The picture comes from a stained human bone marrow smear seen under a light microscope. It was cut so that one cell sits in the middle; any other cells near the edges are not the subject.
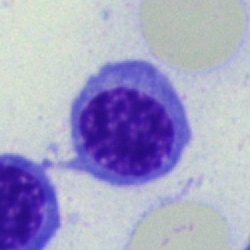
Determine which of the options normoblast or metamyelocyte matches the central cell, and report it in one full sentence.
The cell shown in the center of this light-microscope crop is a normoblast.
